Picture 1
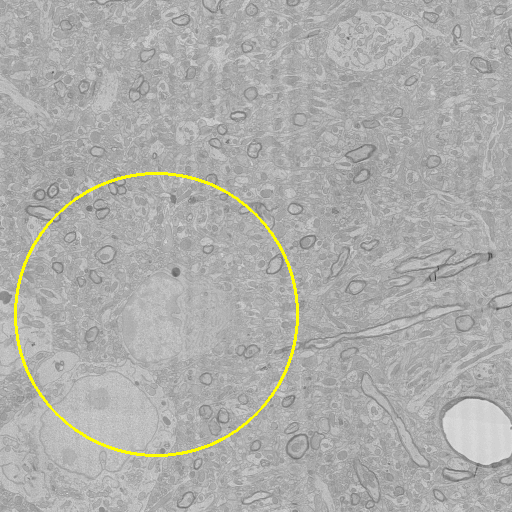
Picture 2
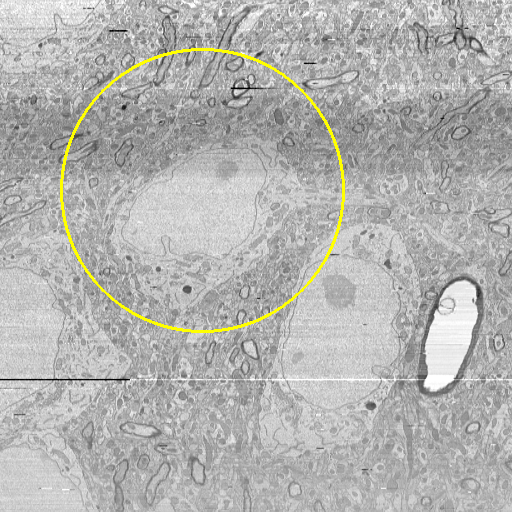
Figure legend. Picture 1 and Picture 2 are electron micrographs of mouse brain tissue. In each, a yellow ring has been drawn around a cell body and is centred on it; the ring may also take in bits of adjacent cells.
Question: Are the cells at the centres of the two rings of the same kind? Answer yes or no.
no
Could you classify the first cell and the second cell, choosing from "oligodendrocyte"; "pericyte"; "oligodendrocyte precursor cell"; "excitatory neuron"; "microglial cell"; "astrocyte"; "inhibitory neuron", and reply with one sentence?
The second cell is an excitatory neuron, while the first is an oligodendrocyte.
